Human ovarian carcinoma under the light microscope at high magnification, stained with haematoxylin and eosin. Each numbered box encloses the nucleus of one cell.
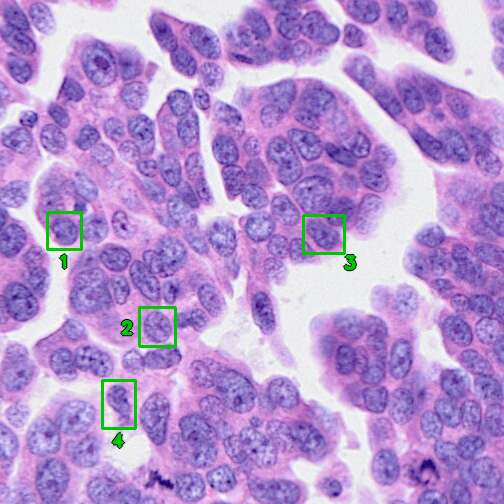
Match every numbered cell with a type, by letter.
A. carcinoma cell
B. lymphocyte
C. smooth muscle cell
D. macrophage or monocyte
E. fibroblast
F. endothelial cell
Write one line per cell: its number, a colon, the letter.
1: A
2: A
3: A
4: D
